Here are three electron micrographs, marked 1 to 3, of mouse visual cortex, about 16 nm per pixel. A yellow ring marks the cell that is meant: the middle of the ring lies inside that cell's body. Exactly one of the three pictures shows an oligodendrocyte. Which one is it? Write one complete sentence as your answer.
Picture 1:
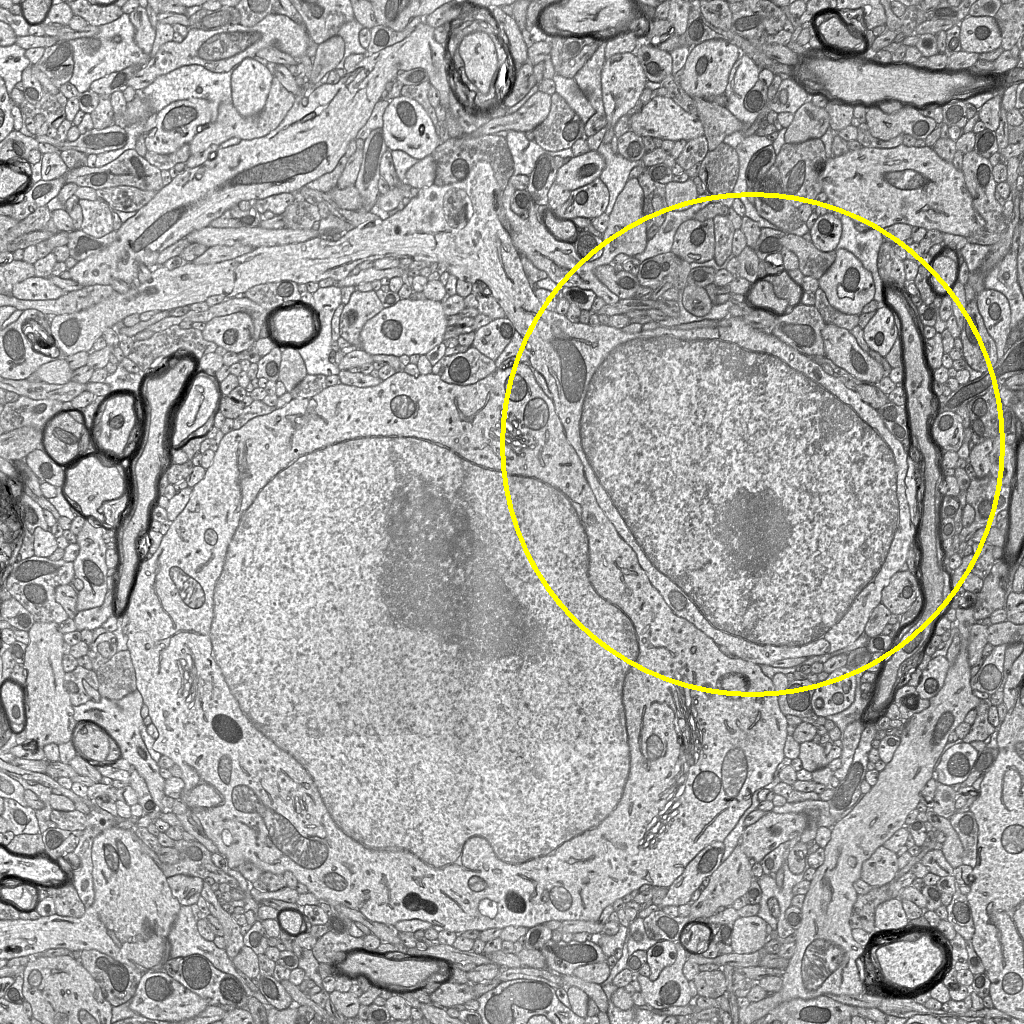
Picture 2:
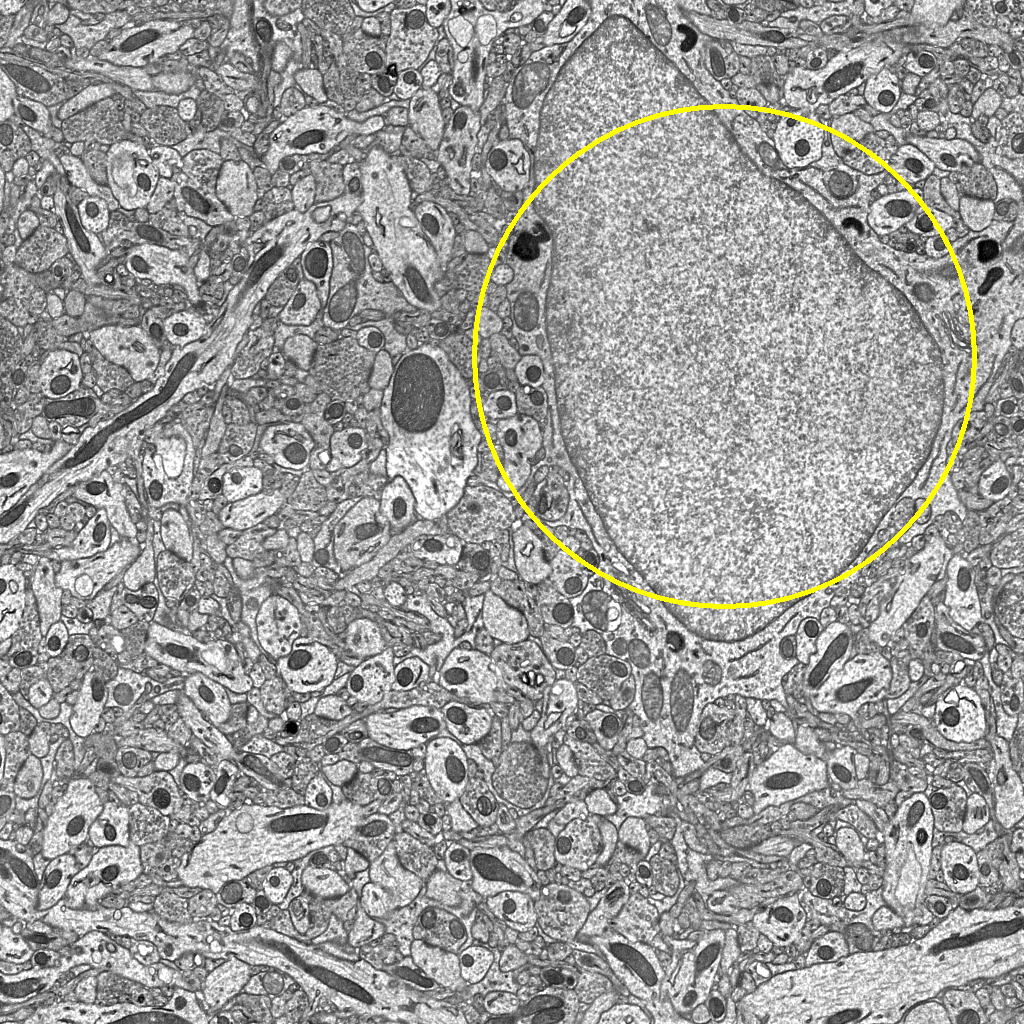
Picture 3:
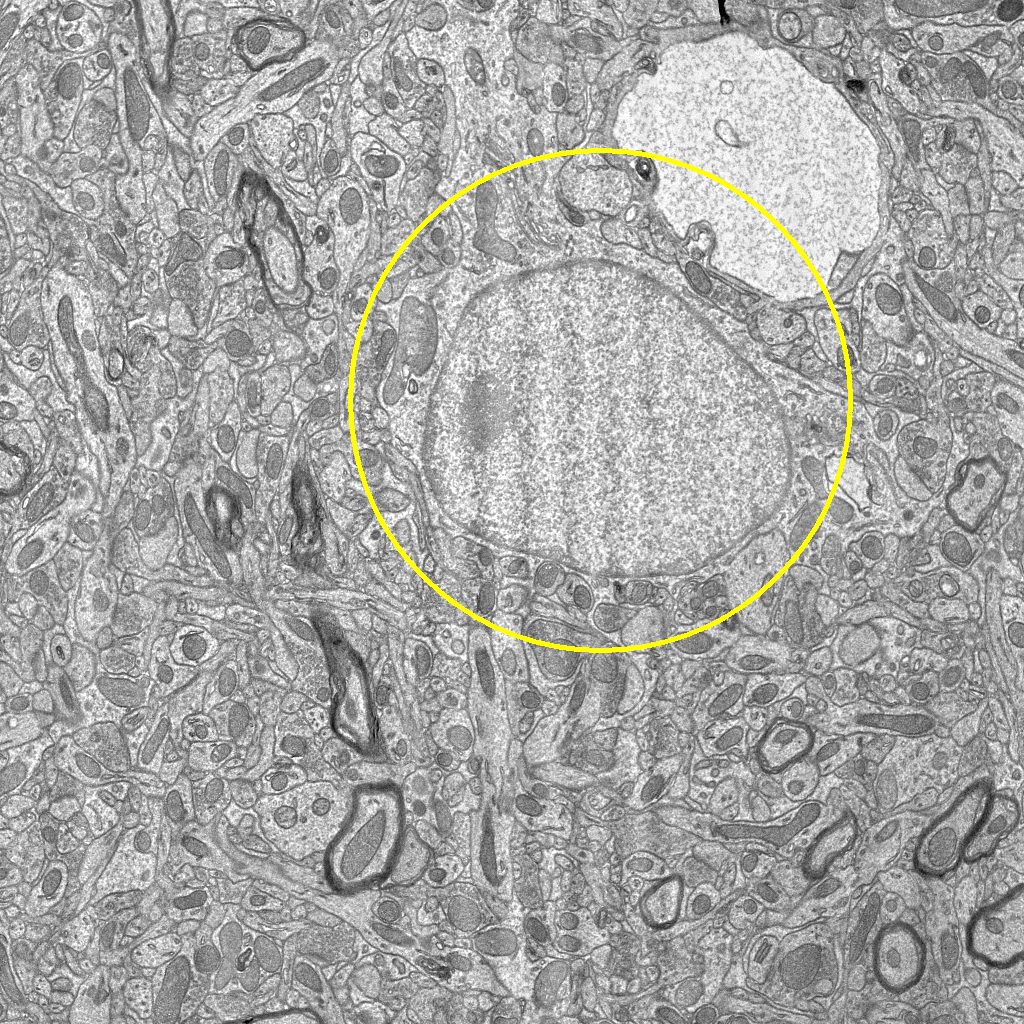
The oligodendrocyte is the one in picture 1.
